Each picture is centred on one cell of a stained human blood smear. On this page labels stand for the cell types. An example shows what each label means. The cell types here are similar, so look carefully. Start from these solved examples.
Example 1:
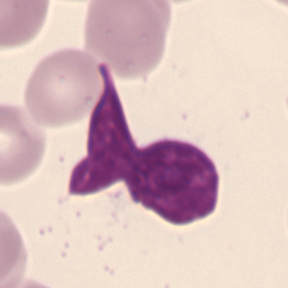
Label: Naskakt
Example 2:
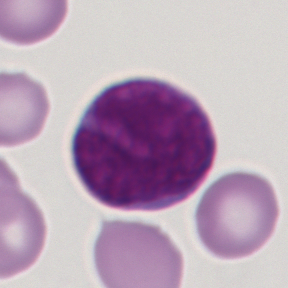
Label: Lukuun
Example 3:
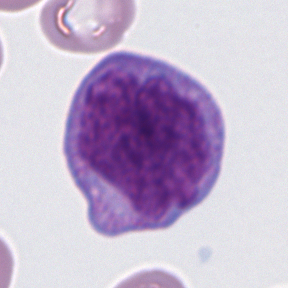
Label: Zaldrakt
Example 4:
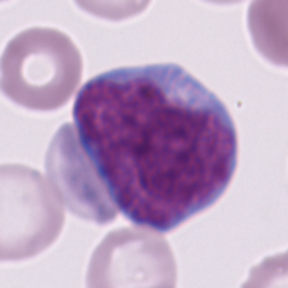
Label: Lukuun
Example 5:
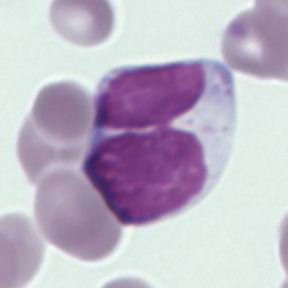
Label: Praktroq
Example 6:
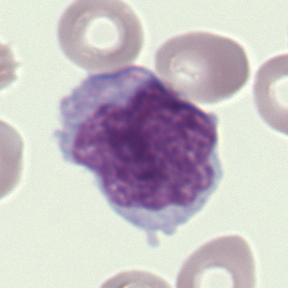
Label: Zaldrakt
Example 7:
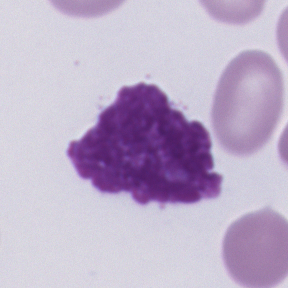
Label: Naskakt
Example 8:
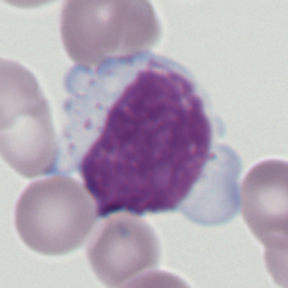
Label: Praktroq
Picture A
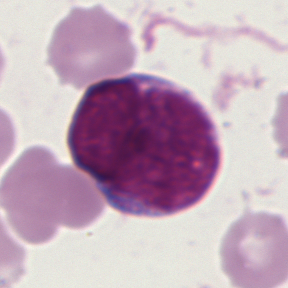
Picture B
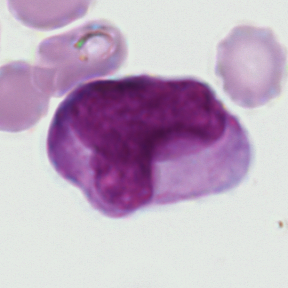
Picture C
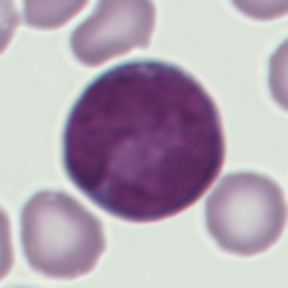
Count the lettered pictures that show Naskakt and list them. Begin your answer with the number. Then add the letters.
0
